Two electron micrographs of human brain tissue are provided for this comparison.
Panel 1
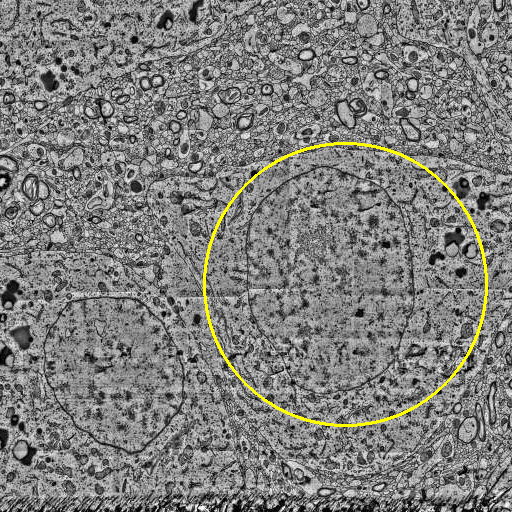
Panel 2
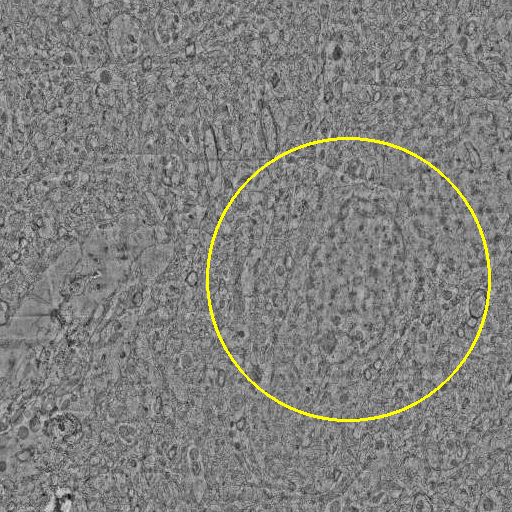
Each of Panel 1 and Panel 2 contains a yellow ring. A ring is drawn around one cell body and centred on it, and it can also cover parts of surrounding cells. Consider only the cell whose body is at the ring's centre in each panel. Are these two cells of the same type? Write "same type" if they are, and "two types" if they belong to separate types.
two types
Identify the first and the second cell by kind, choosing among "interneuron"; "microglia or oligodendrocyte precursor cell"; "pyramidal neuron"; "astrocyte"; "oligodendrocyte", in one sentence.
The one in the first picture is a pyramidal neuron, while the one in the second is an interneuron.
